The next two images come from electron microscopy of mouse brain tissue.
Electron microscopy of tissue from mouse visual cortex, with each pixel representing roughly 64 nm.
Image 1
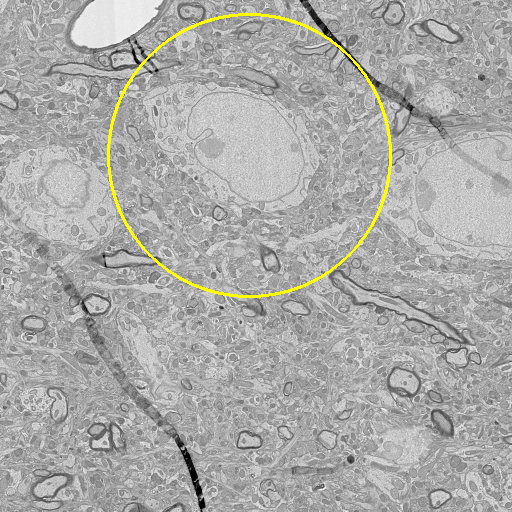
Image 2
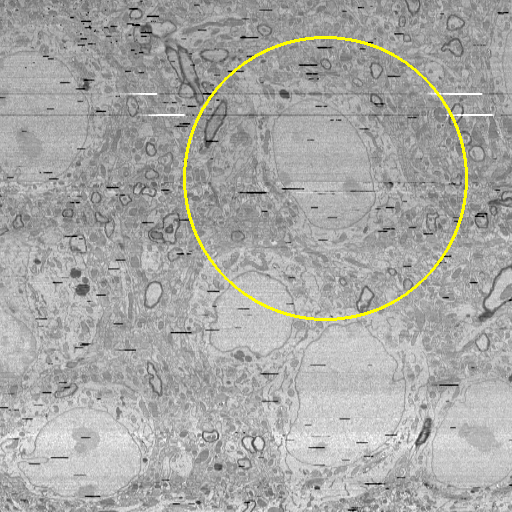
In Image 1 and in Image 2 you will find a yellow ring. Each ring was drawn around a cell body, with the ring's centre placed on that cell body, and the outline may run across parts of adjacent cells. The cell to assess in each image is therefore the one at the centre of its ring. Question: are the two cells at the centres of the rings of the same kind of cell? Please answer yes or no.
yes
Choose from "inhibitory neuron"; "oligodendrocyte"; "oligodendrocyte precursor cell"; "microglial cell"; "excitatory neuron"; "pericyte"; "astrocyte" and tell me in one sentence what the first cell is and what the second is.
The first and the second cell are each an excitatory neuron.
